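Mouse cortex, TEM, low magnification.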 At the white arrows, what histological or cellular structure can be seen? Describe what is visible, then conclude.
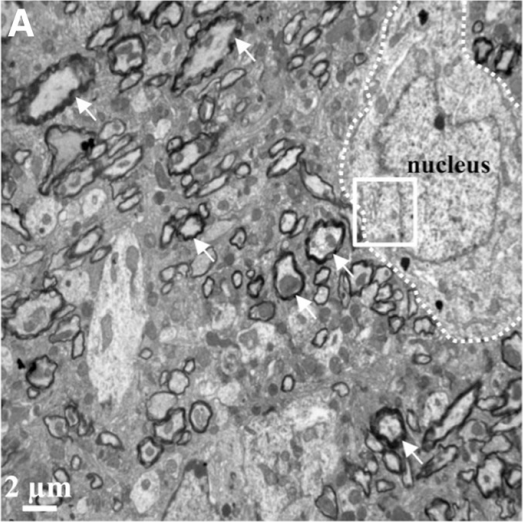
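The arrowed profiles are round to oval structures with a pale core. Each is surrounded by a thick, dark, electron-dense ring. Many similar dark-ringed profiles are scattered through the neuropil.
Myelin rounded axons.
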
